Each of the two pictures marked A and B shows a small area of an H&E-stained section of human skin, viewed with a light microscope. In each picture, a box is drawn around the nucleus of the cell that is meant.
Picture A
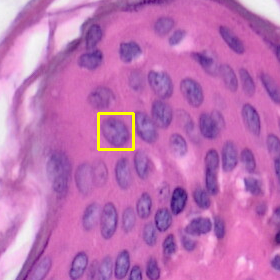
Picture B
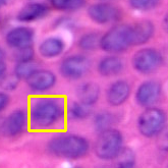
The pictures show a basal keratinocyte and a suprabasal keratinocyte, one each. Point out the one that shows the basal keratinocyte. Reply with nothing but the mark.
B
